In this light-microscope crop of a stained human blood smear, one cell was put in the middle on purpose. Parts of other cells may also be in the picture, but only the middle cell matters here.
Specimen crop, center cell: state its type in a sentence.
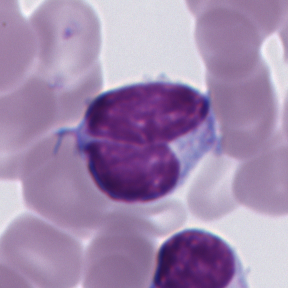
The centrally placed cell is classified as a large granular lymphocyte.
